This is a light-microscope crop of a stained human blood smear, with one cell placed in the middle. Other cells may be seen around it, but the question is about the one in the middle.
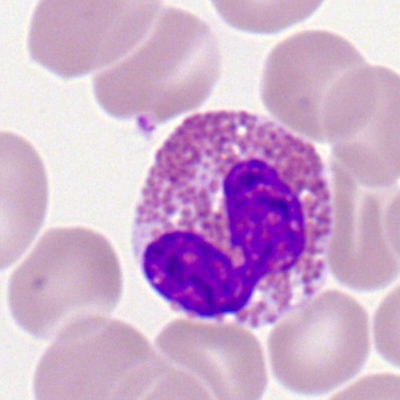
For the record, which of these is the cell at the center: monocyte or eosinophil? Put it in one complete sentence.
Positioned in the middle of the crop is an eosinophil.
